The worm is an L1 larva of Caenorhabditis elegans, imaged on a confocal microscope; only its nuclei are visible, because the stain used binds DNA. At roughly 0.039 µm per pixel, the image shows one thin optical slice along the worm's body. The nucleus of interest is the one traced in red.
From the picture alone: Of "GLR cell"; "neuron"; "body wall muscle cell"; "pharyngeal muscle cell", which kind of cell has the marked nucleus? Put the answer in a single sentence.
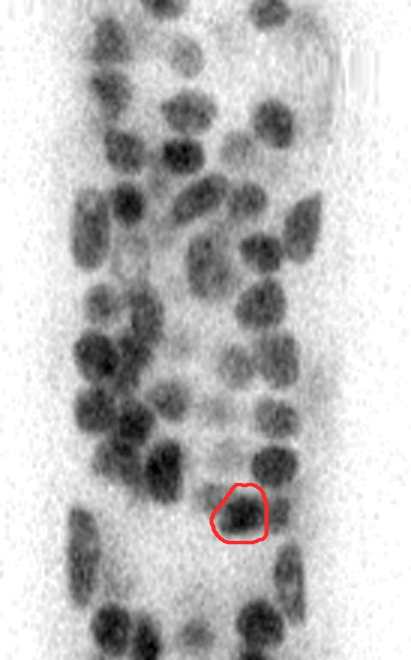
It is the nucleus of a GLR cell.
